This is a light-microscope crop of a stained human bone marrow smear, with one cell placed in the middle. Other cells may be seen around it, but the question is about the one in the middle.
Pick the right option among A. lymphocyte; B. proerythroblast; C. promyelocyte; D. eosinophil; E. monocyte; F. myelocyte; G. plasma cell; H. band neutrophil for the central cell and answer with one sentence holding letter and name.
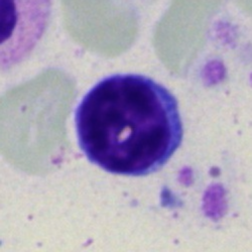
The correct identification, given in option A, is that the central cell is a lymphocyte.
